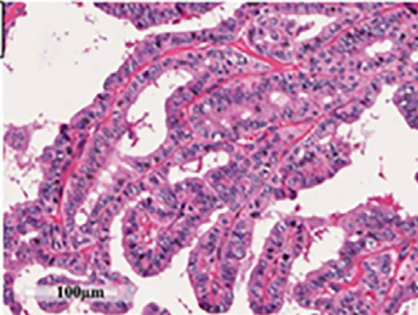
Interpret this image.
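Here we look at a papillary carcinoma of the thyroid, seen as branching, finger-like fronds that project into open spaces. Each frond has a thin pink central stalk of connective tissue carrying small blood vessels, and this core is covered by a layer of tumour epithelial cells. The nuclei of these cells are enlarged and oval, they crowd and overlap one another rather than sitting in a neat single row, and many look pale and washed out instead of darkly stained. The cytoplasm is a modest pinkish-purple. Between the fronds the spaces are empty and white.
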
